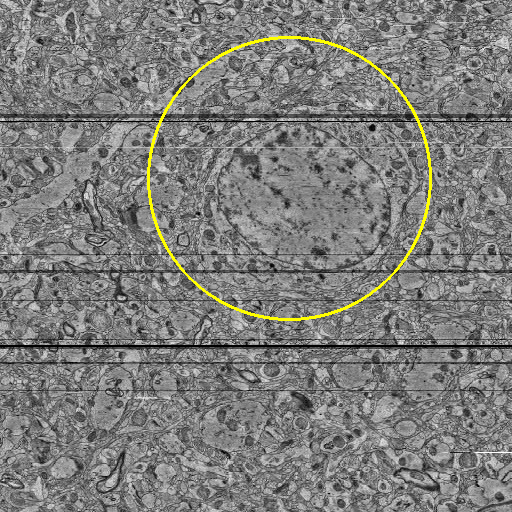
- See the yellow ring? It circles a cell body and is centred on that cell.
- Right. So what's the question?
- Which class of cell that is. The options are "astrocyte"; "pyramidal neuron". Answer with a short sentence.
The centre of the ring holds a pyramidal neuron.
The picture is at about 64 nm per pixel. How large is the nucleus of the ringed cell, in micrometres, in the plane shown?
Approximately 11 micrometers across in this plane.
